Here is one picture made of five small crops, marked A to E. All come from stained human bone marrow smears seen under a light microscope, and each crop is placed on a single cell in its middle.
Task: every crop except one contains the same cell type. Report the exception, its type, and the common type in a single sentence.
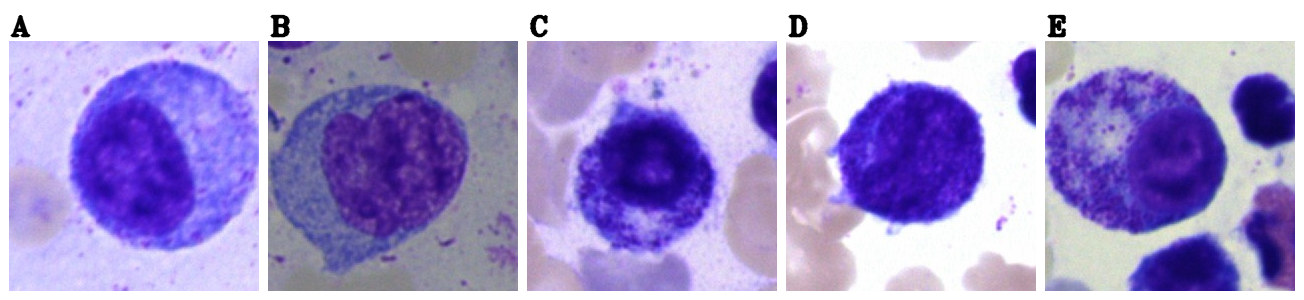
Crop B presents a monocyte, while promyelocytes are presented by all other crops.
